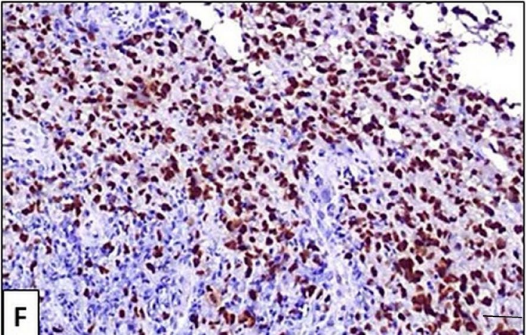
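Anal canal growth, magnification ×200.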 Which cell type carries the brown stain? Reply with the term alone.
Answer: Tumor cells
